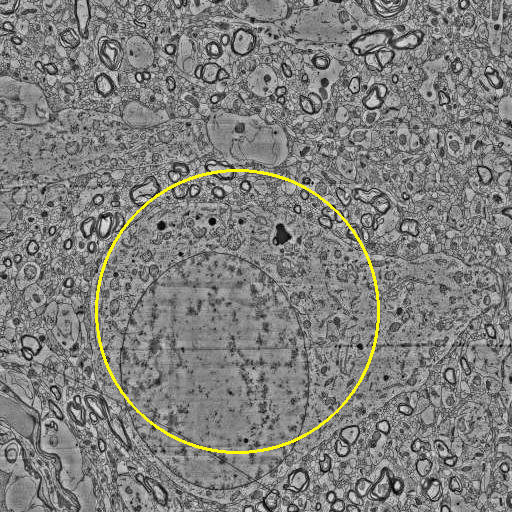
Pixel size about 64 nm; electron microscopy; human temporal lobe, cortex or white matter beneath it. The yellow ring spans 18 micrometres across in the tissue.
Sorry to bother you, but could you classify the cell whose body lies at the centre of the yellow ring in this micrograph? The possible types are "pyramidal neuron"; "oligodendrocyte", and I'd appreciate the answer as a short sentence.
The ringed cell body is that of a pyramidal neuron.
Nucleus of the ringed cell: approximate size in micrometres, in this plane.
The nucleus of the ringed cell is approximately 15 by 12 micrometres in this plane.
